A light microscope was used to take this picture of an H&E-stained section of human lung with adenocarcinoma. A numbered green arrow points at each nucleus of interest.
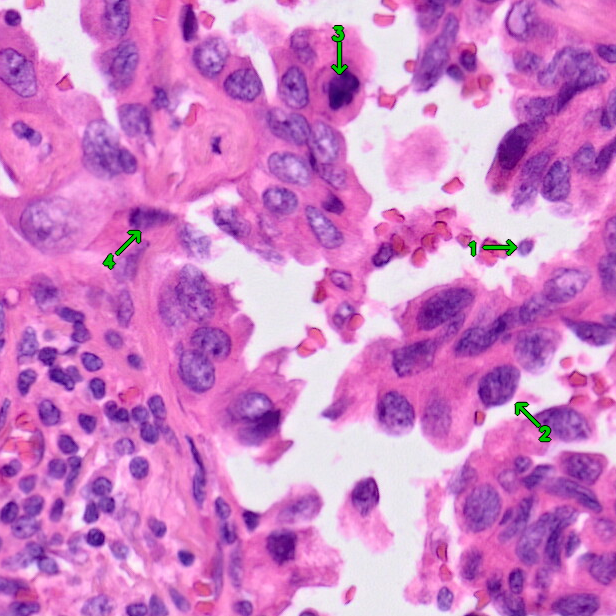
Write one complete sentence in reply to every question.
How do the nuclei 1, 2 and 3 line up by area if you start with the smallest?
Smallest first, the nuclei run 1, 3, 2.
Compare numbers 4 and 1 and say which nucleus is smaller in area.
The smaller nucleus is 1, and 4 covers roughly 4 times its area.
